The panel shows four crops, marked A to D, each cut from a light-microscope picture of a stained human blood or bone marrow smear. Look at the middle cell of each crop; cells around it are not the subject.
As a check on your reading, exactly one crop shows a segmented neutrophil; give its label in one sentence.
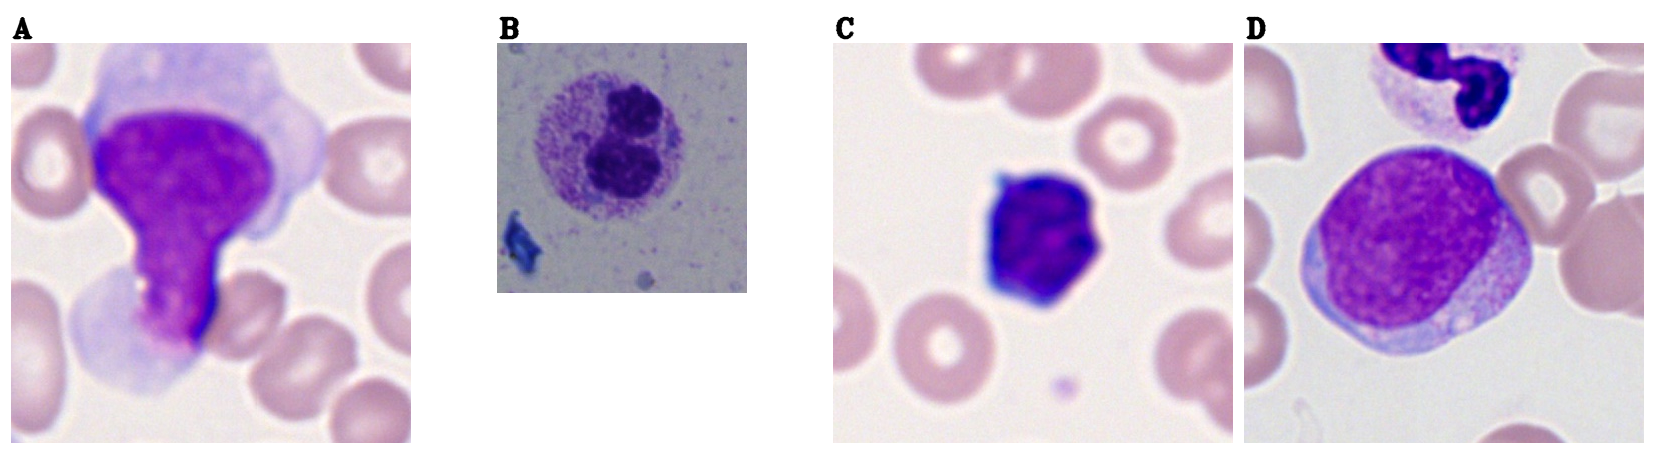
The one crop that shows a segmented neutrophil is crop B.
